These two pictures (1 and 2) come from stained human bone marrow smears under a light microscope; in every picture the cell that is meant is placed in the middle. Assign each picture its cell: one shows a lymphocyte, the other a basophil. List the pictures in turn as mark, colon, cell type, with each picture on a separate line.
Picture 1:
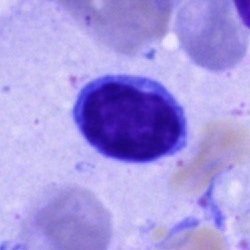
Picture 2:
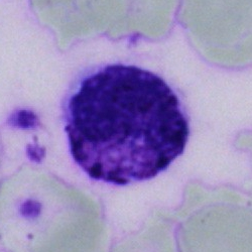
1: lymphocyte
2: basophil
